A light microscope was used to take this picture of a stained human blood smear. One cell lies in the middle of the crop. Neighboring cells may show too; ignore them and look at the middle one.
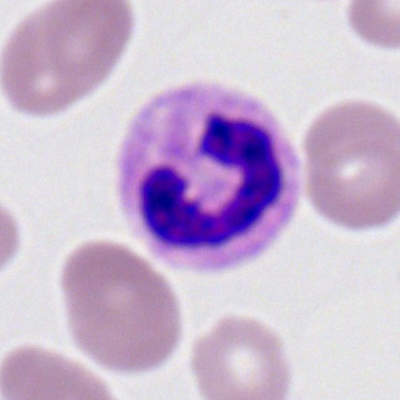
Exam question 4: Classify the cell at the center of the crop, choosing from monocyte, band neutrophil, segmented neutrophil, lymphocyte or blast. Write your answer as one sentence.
Framed in the middle of the crop is a band neutrophil.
